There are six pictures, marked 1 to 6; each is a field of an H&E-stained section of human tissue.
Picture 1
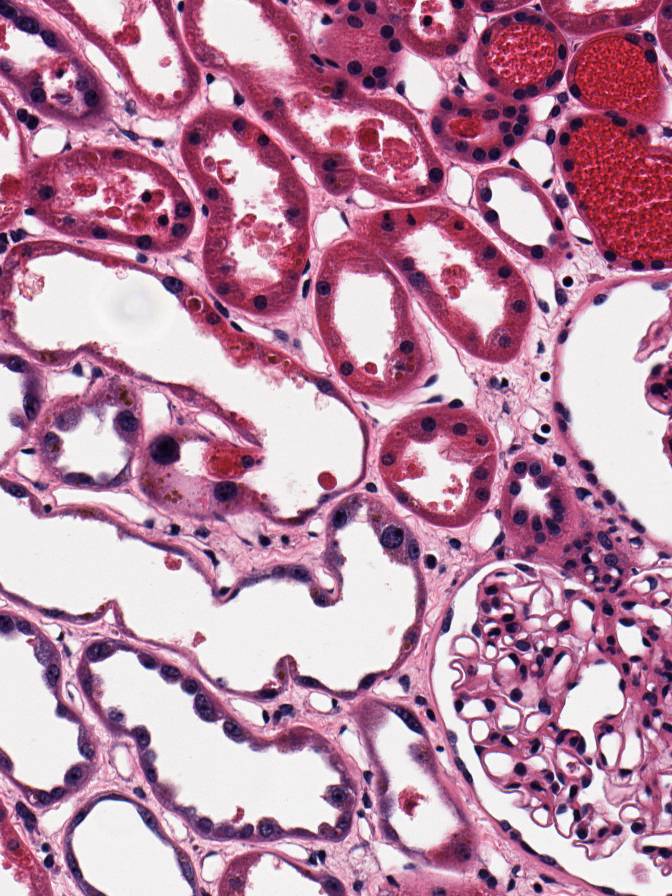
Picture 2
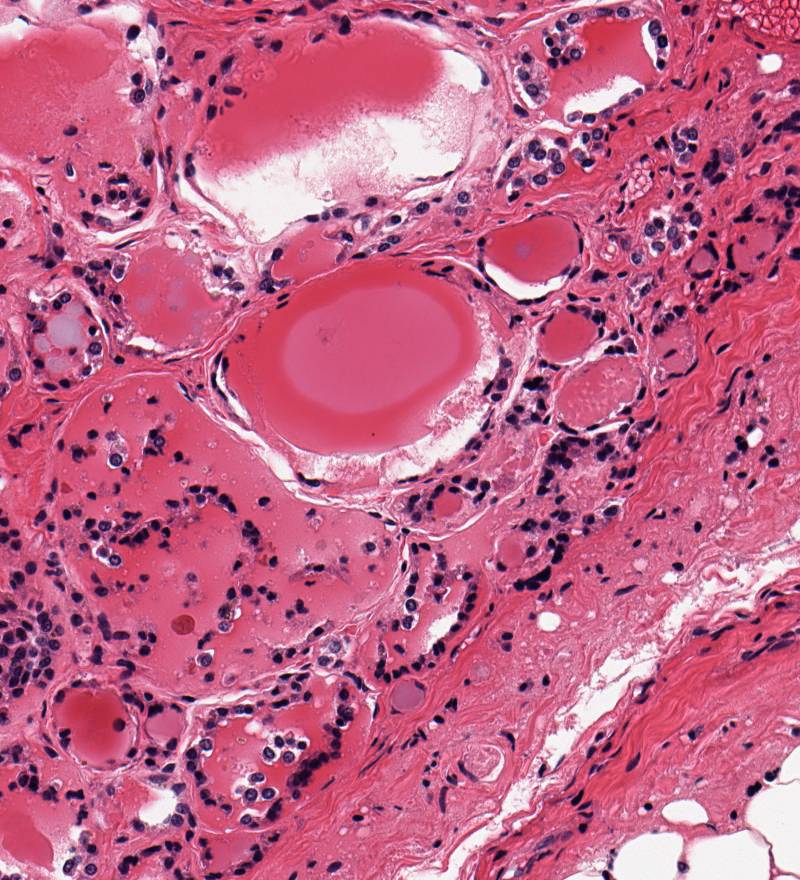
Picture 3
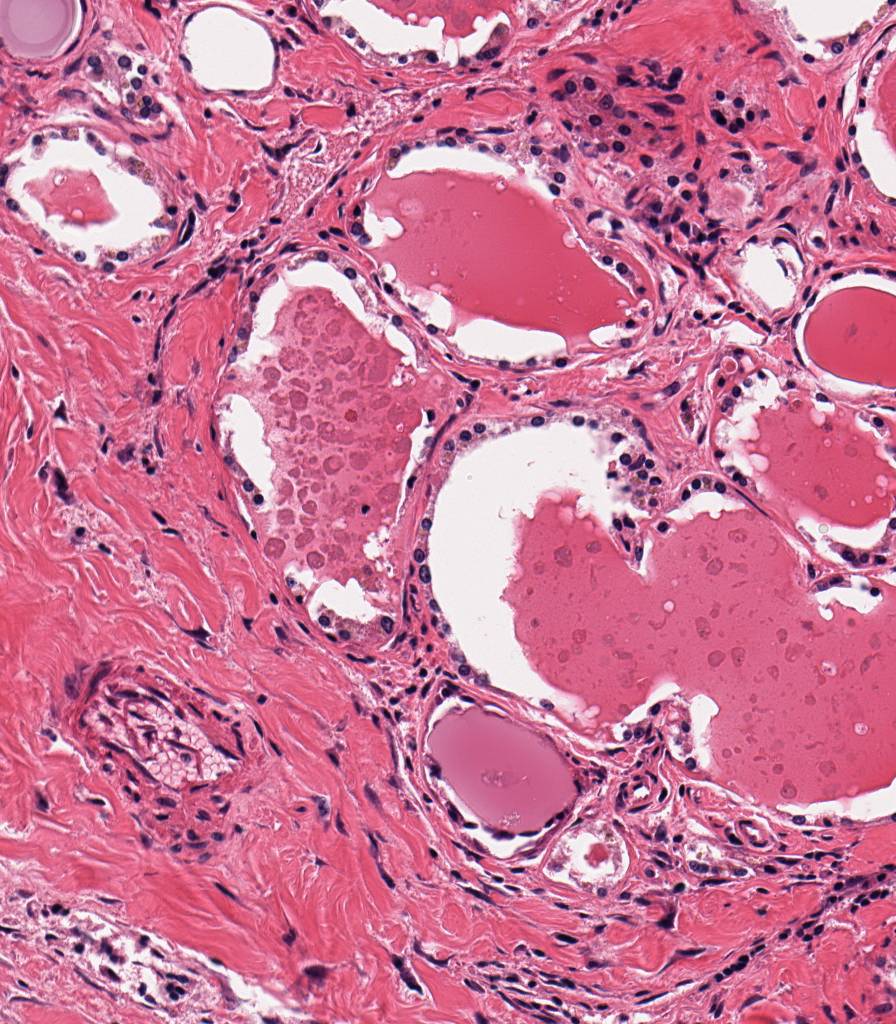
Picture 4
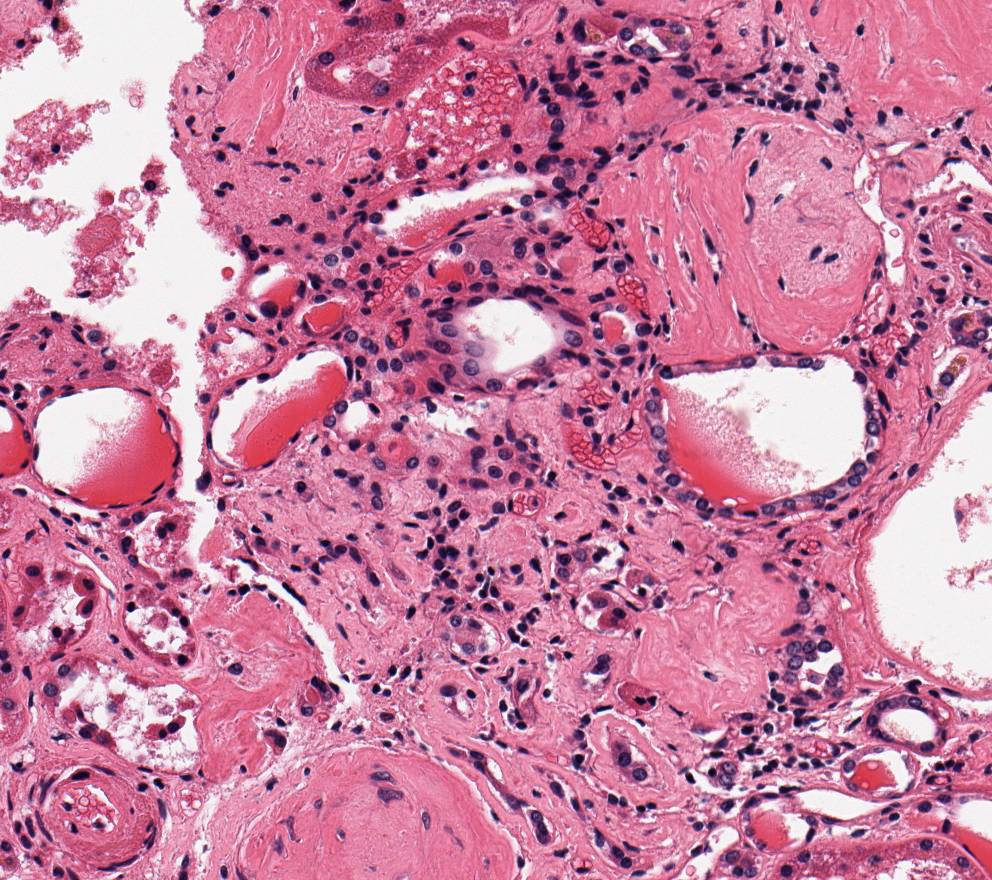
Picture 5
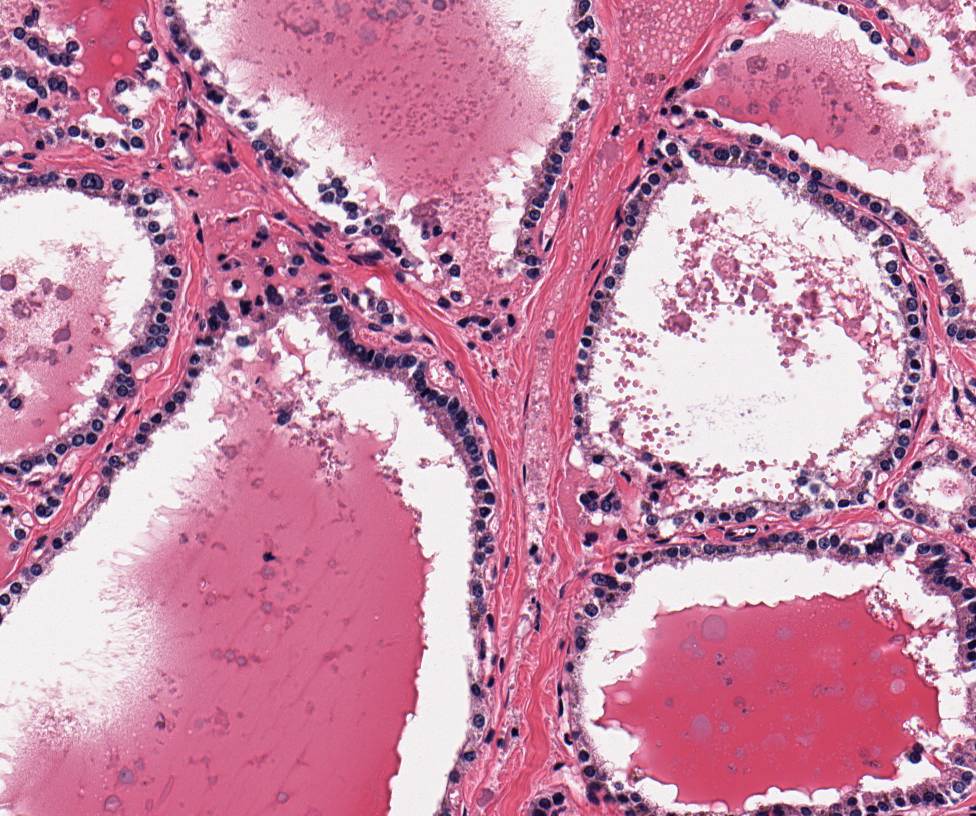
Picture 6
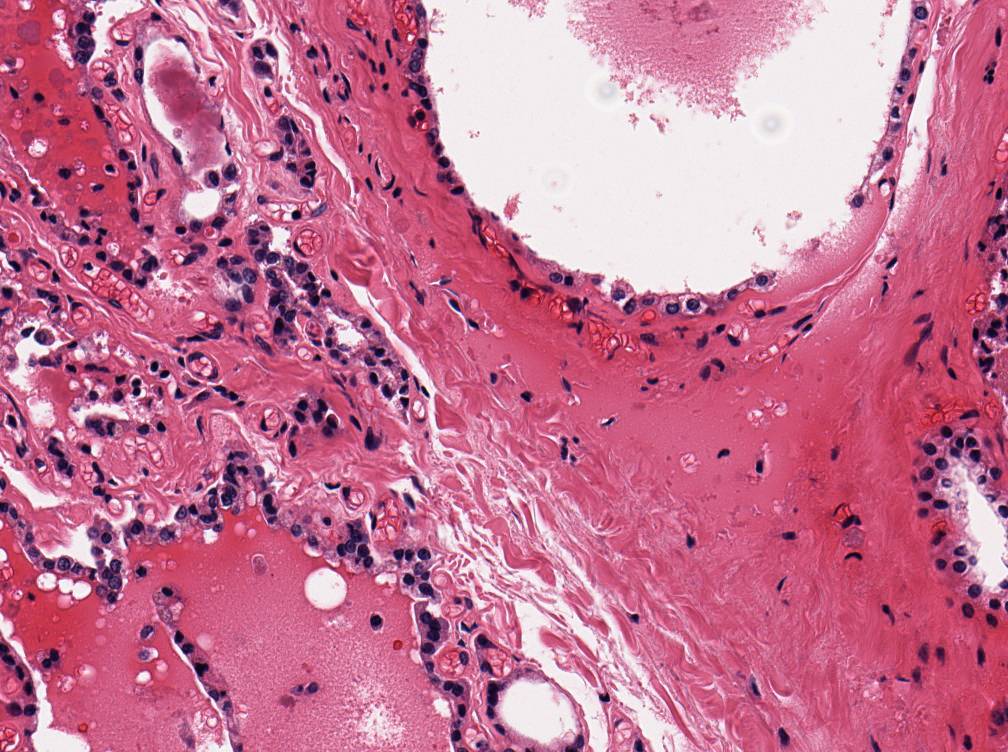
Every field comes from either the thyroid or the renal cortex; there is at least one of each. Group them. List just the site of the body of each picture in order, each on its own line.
renal cortex
thyroid
thyroid
renal cortex
thyroid
thyroid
